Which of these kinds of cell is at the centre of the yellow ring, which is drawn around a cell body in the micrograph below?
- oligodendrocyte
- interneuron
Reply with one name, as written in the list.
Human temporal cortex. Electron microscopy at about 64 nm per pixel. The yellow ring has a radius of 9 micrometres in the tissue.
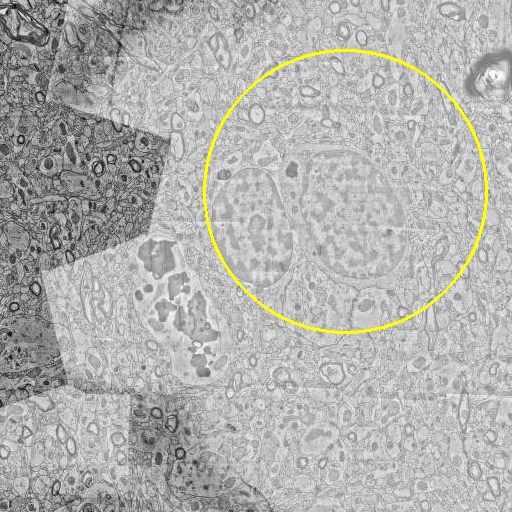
oligodendrocyte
